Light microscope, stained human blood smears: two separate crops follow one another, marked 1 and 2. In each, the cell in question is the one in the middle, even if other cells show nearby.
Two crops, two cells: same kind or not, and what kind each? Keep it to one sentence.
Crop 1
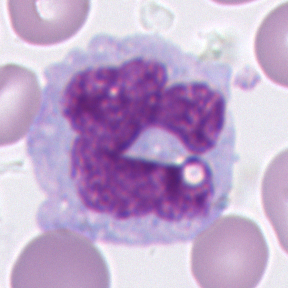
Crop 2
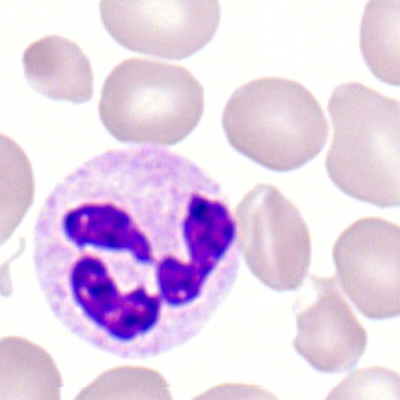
No, the middle of crop 1 shows a monocyte, and the middle of crop 2 shows a segmented neutrophil.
